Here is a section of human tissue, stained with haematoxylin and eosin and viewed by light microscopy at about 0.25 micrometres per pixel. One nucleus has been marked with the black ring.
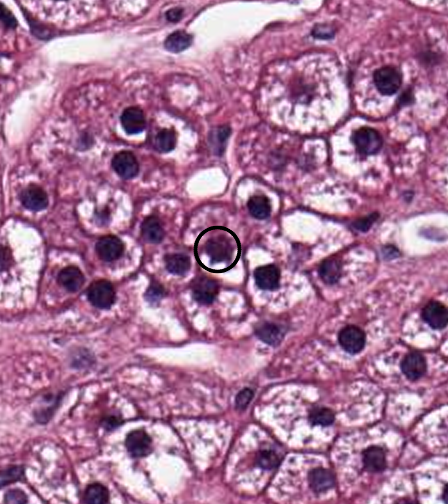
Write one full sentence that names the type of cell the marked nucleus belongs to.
In the section shown, the marked nucleus belongs to an adrenal cortical cell.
